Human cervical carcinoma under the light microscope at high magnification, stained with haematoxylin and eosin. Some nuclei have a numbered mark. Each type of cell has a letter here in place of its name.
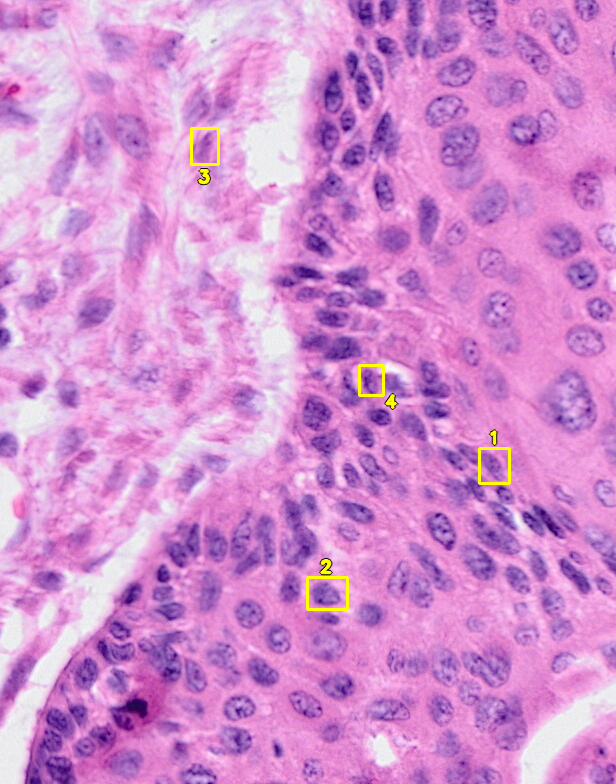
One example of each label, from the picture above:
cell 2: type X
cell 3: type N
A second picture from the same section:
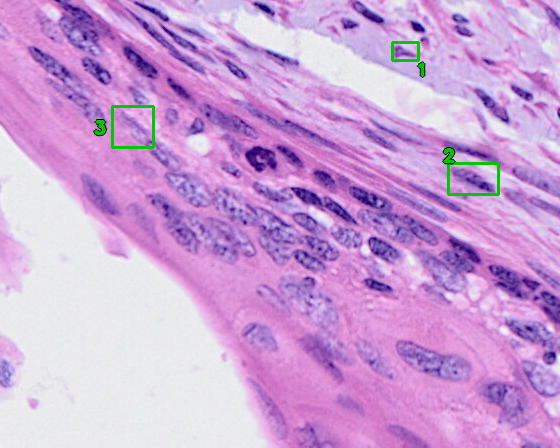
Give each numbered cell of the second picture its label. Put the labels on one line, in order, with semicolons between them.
type N; type N; type X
